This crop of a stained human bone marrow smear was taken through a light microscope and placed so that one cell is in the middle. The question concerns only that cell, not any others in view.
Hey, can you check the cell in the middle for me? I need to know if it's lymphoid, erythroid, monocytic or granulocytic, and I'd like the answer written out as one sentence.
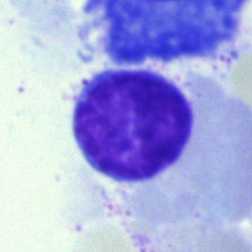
In this crop, the central cell belongs to the lymphoid lineage.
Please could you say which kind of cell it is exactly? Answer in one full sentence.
Looking at the middle of the crop, the cell there is a lymphocyte.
